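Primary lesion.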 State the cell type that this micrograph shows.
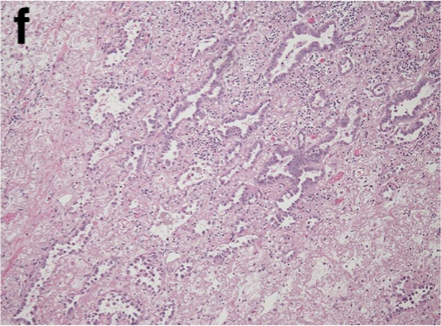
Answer: viable tumor cells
